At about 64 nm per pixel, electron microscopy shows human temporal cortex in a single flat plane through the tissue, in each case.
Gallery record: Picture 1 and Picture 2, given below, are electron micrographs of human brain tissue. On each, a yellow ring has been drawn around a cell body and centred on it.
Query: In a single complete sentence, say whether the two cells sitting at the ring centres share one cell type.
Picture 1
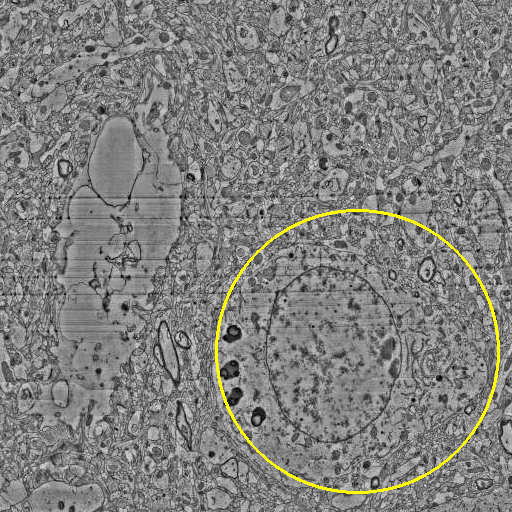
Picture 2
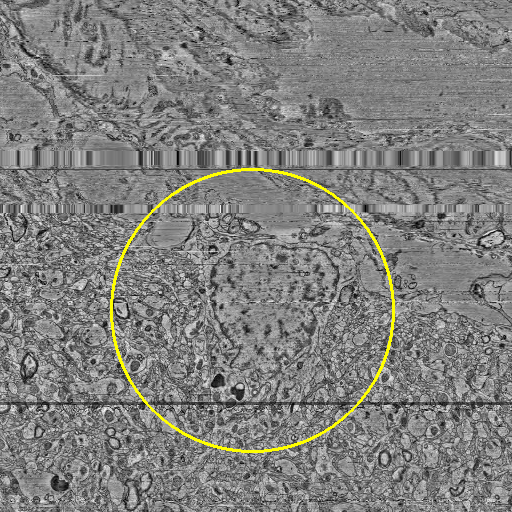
No, in the two pictures the cells at the rings' centres are of two separate types.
